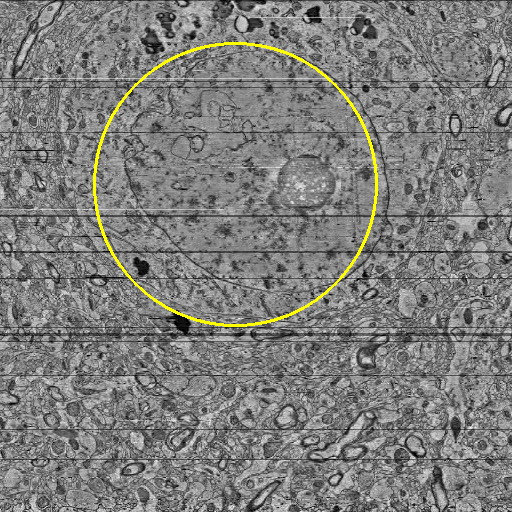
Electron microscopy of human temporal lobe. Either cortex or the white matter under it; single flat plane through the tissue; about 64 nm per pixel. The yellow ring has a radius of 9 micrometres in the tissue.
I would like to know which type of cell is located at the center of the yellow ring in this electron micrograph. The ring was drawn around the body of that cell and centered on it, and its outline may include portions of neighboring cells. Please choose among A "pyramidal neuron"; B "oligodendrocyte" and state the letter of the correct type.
A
